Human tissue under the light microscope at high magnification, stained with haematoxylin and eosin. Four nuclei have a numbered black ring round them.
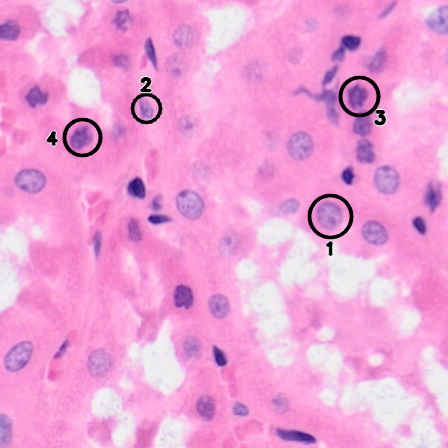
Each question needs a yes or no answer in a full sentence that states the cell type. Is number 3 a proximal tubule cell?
Yes, the cell identified by number 3 is a proximal tubule cell.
